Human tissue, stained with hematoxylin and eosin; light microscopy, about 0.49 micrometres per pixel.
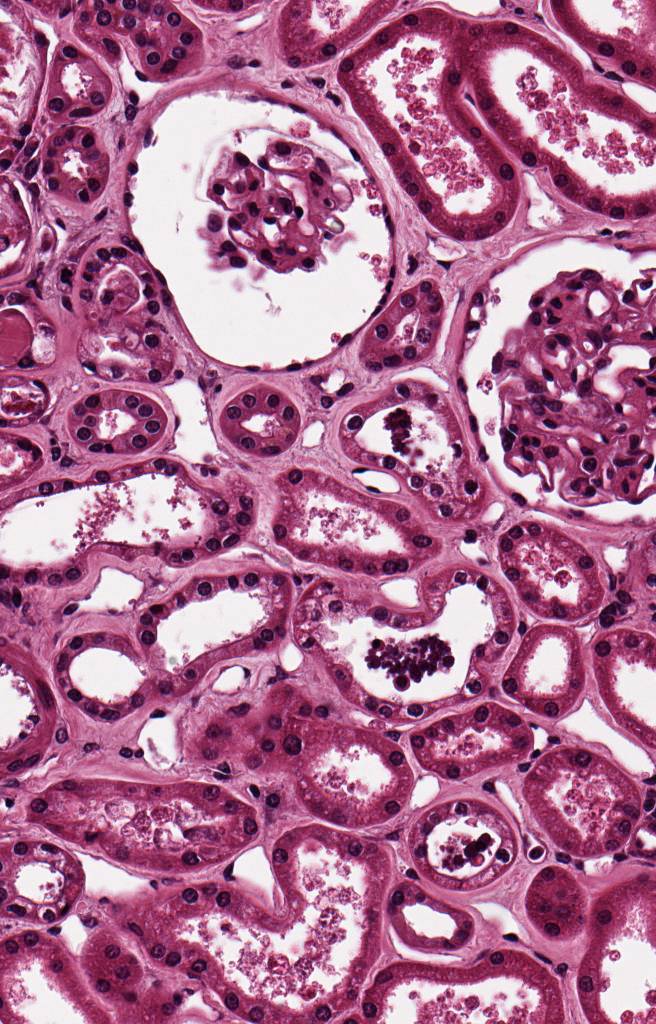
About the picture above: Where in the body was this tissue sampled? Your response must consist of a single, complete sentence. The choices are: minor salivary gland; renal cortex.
Tissue sampled from the renal cortex forms this section.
